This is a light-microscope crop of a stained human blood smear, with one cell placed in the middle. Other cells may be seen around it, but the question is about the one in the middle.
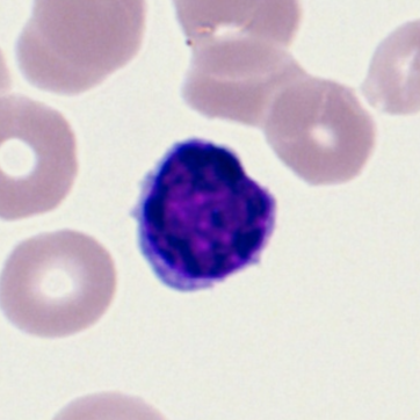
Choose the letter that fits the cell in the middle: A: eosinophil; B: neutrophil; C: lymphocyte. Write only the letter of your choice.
C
